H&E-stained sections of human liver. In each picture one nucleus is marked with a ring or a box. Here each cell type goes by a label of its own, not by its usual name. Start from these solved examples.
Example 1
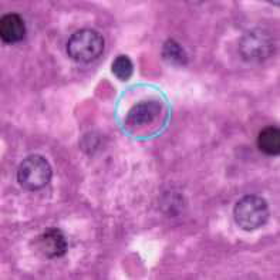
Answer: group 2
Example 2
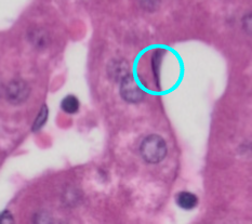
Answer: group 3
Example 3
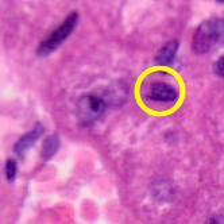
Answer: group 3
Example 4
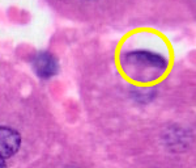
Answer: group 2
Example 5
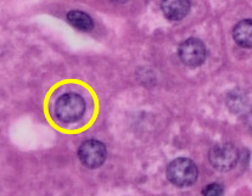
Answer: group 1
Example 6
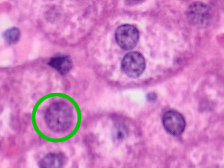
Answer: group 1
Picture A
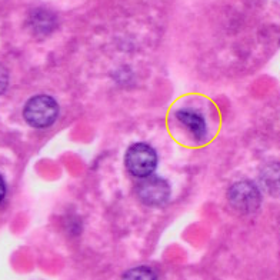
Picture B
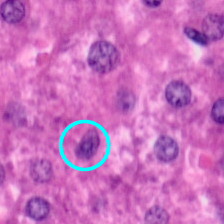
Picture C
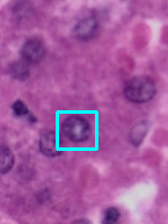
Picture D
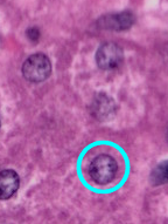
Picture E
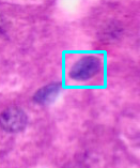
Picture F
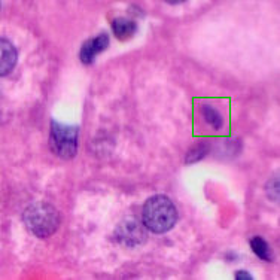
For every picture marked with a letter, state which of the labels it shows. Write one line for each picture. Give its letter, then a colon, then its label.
A: group 2
B: group 2
C: group 1
D: group 1
E: group 2
F: group 3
